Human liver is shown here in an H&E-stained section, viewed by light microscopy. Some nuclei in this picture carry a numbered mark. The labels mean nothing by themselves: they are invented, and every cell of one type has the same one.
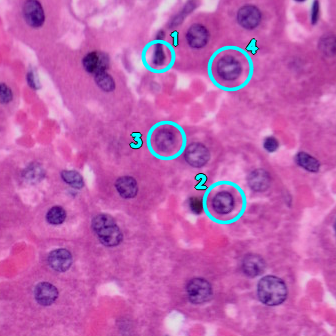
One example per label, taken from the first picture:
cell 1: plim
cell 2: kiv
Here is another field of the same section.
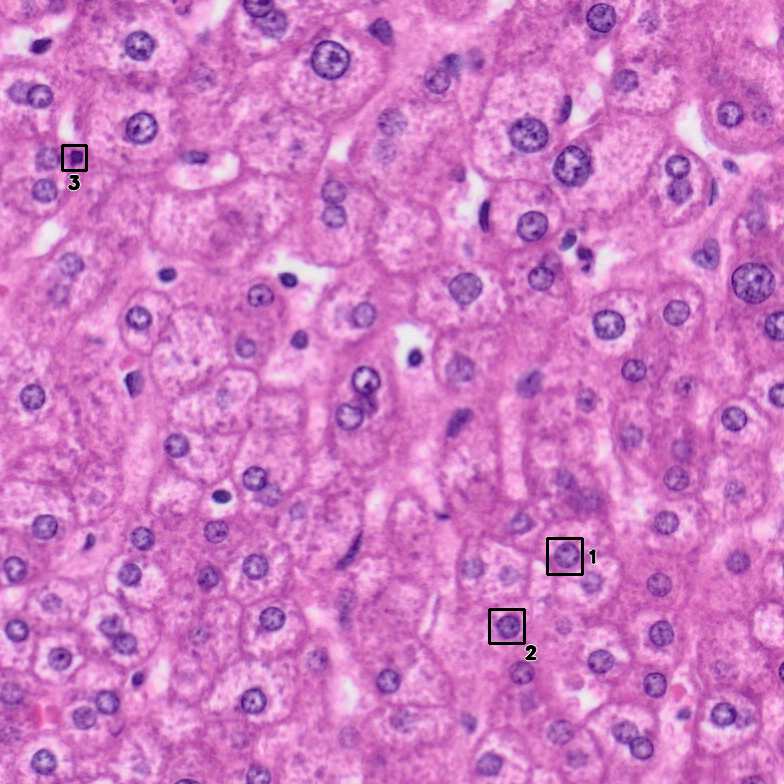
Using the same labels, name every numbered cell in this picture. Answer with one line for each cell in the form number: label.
1: kiv
2: kiv
3: plim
